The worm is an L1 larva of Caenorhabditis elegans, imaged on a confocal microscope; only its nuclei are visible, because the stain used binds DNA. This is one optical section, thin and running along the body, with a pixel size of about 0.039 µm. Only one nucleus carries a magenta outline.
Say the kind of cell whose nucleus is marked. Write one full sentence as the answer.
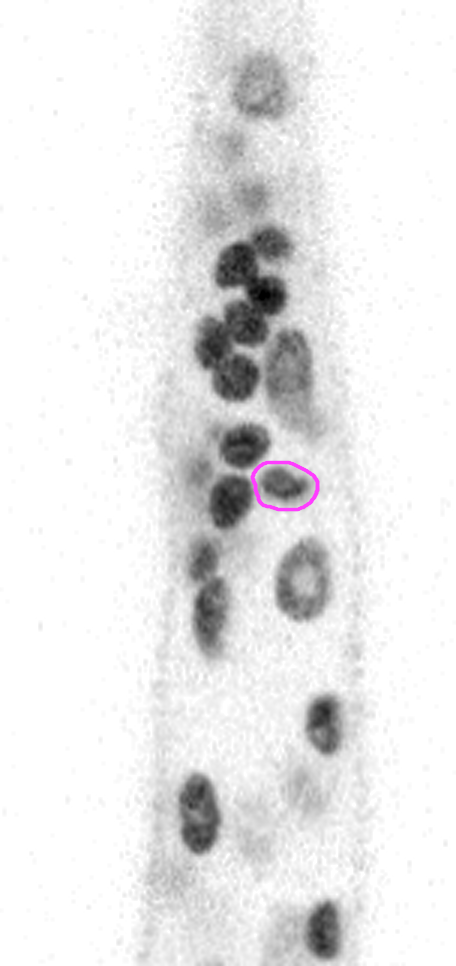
It is the nucleus of a valve cell of the gut.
